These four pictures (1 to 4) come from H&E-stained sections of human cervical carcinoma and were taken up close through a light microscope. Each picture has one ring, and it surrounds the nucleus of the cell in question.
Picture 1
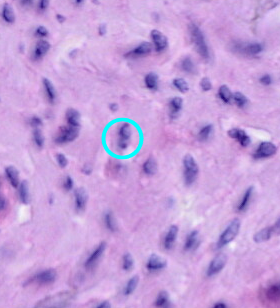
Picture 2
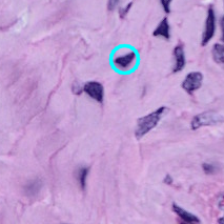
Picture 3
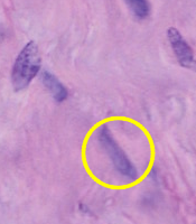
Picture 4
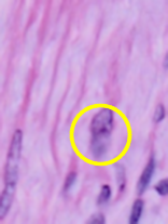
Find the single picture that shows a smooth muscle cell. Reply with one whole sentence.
The cell in picture 4 is the smooth muscle cell.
